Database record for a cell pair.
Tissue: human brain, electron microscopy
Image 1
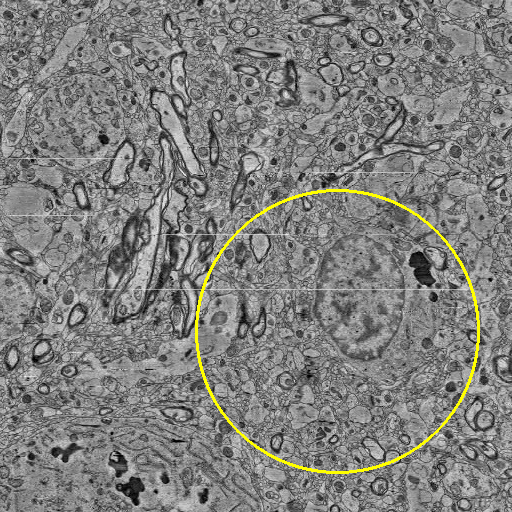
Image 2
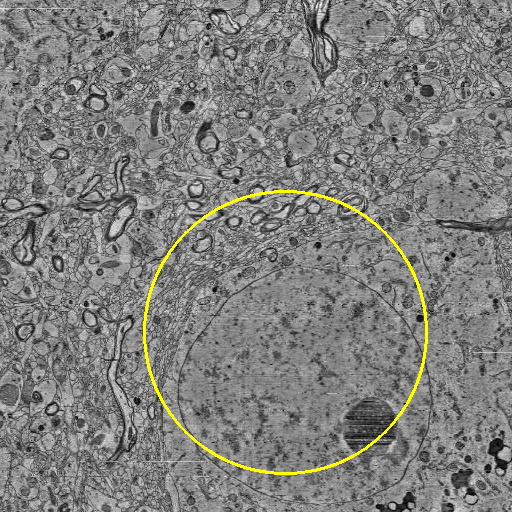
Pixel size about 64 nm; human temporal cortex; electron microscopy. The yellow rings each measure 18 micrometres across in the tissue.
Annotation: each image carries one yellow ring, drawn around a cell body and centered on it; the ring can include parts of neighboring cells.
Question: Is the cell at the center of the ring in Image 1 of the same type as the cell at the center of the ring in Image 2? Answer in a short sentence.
No, the cells are of two types.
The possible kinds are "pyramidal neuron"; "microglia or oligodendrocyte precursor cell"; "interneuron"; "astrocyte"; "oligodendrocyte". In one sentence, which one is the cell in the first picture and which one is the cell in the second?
The cell ringed in the second picture is a pyramidal neuron, whereas the one ringed in the first is an oligodendrocyte.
